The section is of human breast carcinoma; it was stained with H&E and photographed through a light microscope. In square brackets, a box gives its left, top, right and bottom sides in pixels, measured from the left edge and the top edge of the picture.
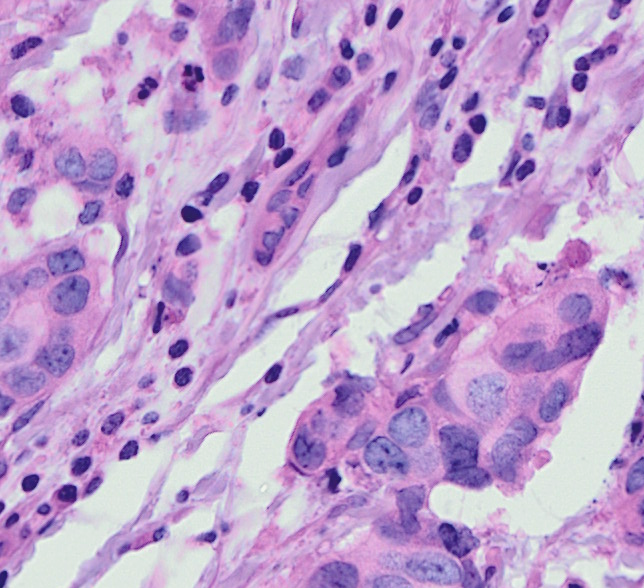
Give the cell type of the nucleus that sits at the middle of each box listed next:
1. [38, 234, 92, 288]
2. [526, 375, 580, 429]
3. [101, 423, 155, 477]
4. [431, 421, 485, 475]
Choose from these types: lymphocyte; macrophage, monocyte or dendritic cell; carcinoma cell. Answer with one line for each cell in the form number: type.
1: carcinoma cell
2: carcinoma cell
3: lymphocyte
4: carcinoma cell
